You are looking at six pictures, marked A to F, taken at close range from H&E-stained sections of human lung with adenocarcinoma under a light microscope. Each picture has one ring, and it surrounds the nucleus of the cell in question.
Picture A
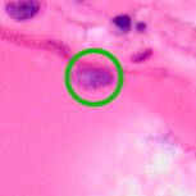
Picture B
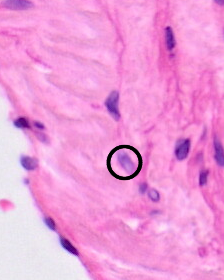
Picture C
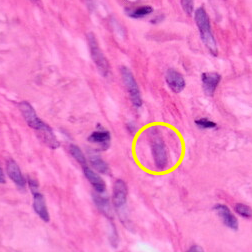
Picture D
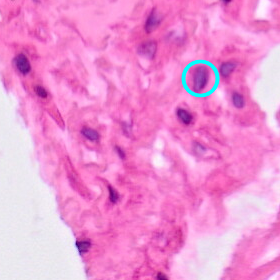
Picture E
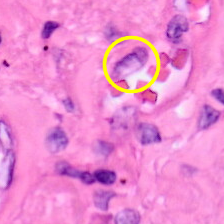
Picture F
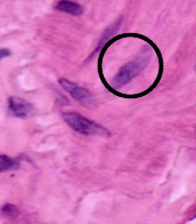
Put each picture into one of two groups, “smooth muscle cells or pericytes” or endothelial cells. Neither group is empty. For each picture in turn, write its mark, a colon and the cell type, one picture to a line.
A: endothelial cell
B: smooth muscle cell or pericyte
C: smooth muscle cell or pericyte
D: smooth muscle cell or pericyte
E: endothelial cell
F: smooth muscle cell or pericyte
